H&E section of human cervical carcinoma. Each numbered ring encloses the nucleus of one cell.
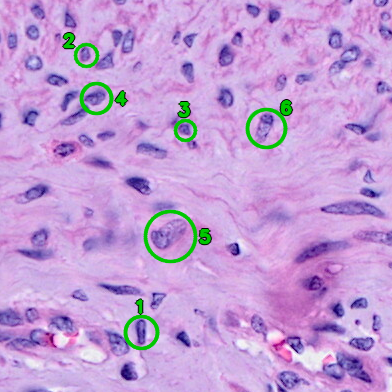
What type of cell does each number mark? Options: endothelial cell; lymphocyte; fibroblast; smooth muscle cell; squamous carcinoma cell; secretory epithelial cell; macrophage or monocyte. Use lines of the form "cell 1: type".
cell 1: fibroblast
cell 2: smooth muscle cell
cell 3: smooth muscle cell
cell 4: fibroblast
cell 5: smooth muscle cell
cell 6: smooth muscle cell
